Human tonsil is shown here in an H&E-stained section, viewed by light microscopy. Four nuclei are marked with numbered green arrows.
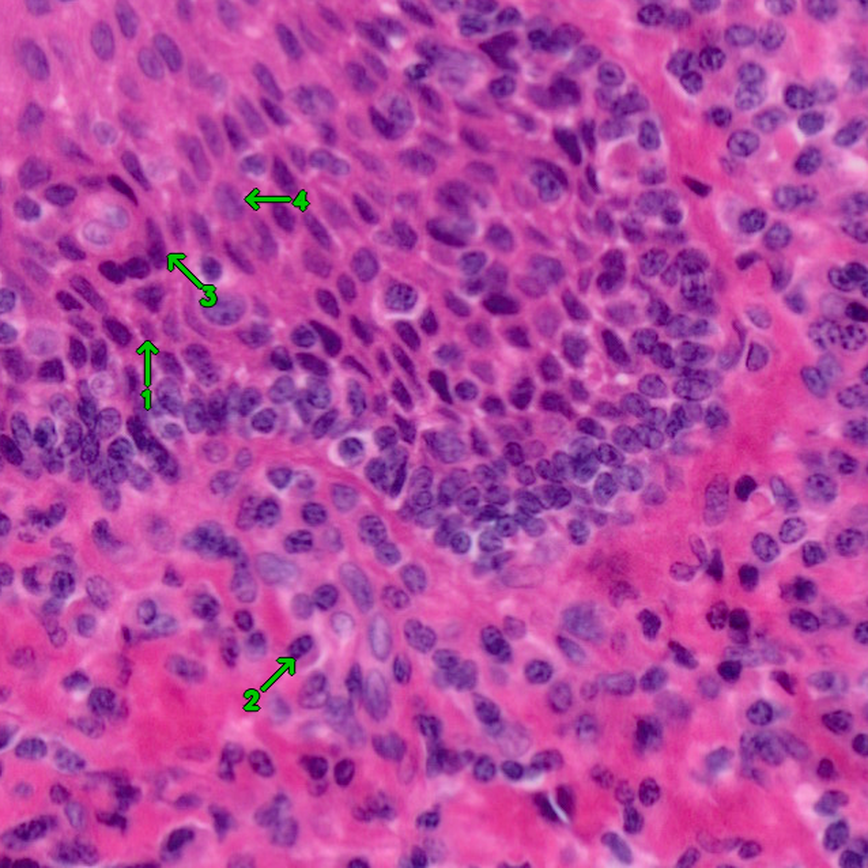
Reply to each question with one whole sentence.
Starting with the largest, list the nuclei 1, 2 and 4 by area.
The nuclei rank 4, 2, 1, from largest to smallest.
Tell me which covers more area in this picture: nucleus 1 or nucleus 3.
Nucleus 3 is the larger one, covering about 2.5 times the area of nucleus 1.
